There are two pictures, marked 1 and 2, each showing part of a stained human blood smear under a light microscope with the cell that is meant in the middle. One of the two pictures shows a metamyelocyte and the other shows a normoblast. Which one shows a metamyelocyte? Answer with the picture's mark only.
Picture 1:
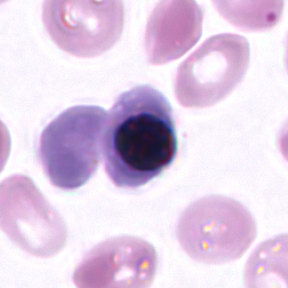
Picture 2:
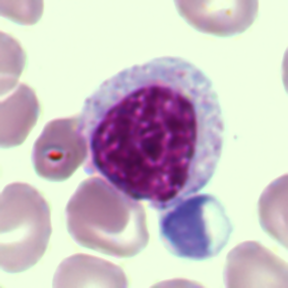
2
